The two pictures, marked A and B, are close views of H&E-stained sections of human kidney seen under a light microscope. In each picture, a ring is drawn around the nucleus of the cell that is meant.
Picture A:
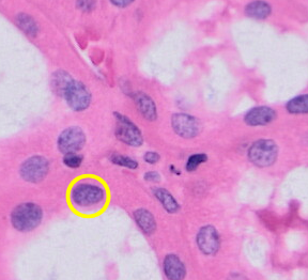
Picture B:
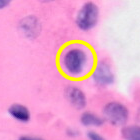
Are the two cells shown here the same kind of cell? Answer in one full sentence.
Yes, both cells are “loop of Henle or distal tubule cells”.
